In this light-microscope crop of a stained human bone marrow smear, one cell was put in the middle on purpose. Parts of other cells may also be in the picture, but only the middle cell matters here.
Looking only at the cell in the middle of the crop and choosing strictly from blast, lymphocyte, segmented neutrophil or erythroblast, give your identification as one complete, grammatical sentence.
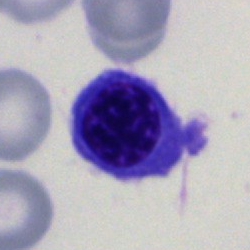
The cell in the middle of the field of view is an erythroblast.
